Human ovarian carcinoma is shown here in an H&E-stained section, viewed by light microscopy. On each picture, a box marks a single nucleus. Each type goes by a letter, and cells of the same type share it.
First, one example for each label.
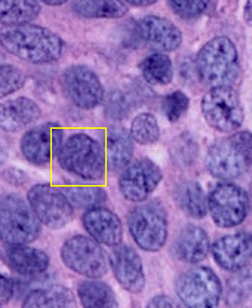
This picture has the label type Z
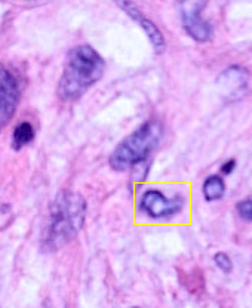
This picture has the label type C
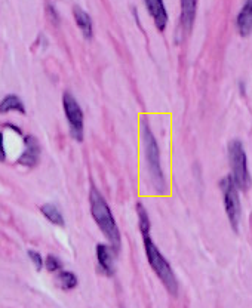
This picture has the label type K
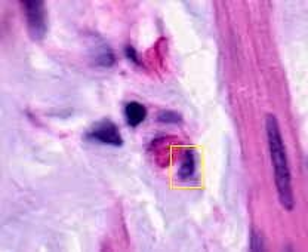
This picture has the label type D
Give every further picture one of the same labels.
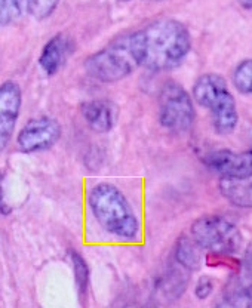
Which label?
type C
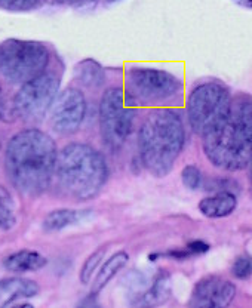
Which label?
type Z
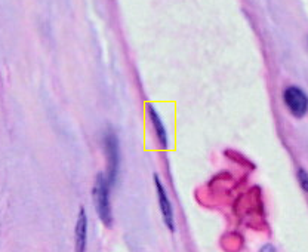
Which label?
type D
